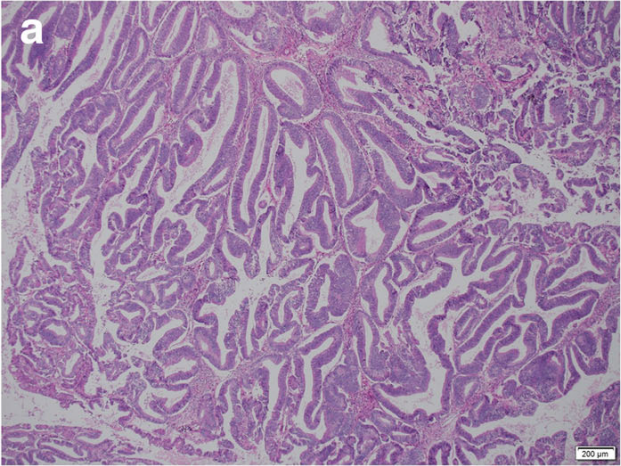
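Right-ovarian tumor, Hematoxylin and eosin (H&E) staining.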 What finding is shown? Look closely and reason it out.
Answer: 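Crowded, branching and elongated glands fill the field. Glands are lined by stratified columnar epithelium with dark nuclei. Little stroma lies between the back-to-back glands. That points to this answer: endometrioid carcinoma.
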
